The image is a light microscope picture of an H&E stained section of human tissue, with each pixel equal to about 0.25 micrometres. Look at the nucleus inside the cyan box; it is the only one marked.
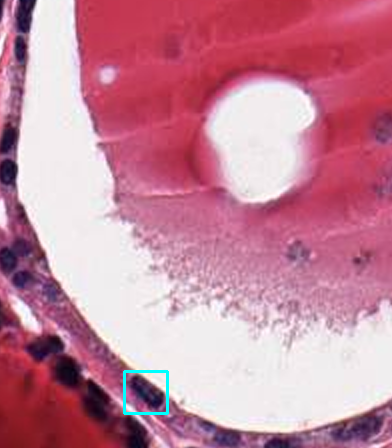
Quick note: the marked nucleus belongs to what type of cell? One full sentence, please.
The nucleus picked out by the mark is that of a thyroid follicular cell.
